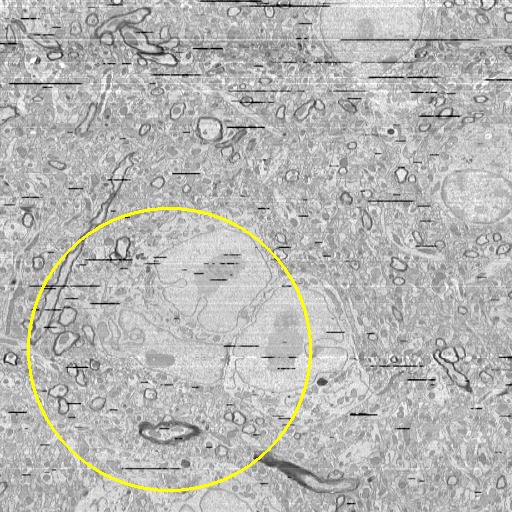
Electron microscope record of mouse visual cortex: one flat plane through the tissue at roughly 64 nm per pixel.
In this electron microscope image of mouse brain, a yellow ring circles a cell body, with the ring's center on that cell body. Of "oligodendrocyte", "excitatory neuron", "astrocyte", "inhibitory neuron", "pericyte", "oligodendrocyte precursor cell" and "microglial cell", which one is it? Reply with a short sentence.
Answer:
It is an oligodendrocyte precursor cell at the center of the ring.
